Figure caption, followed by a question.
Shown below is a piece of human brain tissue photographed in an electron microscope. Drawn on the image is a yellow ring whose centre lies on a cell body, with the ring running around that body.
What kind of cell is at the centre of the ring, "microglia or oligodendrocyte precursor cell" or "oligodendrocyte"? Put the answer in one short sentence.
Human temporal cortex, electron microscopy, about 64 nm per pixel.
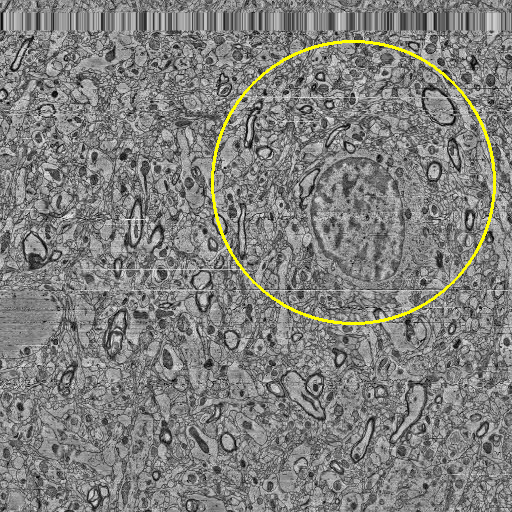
The ring marks the cell body of an oligodendrocyte.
